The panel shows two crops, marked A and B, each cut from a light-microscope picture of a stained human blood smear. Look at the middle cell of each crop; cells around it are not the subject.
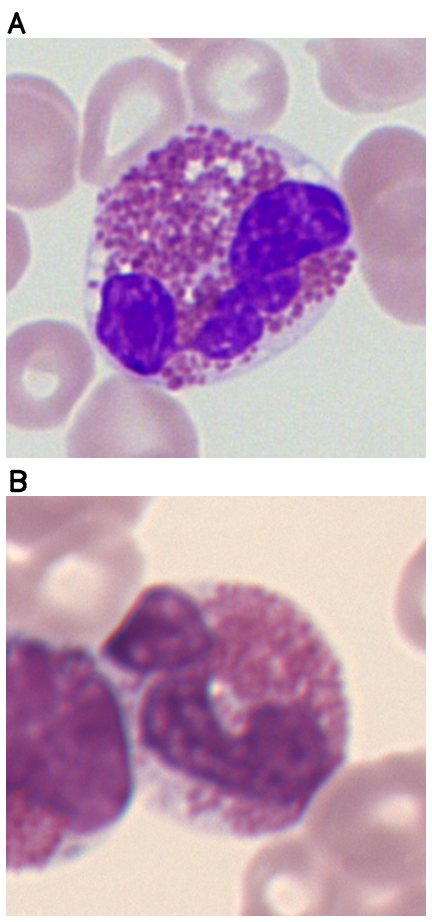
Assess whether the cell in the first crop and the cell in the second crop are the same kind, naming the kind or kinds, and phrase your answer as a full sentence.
Yes, both crops alike show eosinophils at the centre.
